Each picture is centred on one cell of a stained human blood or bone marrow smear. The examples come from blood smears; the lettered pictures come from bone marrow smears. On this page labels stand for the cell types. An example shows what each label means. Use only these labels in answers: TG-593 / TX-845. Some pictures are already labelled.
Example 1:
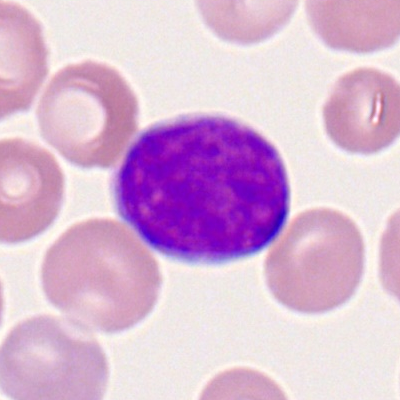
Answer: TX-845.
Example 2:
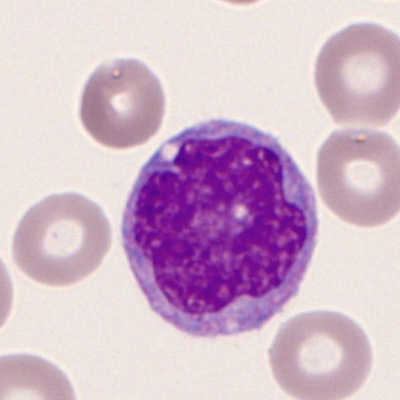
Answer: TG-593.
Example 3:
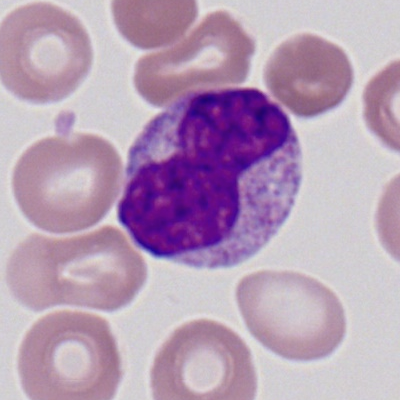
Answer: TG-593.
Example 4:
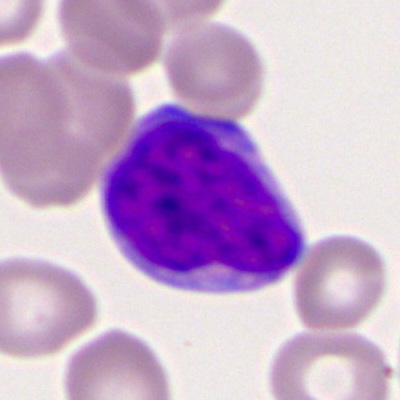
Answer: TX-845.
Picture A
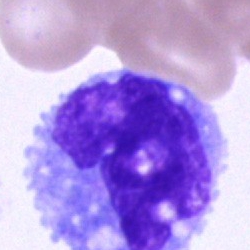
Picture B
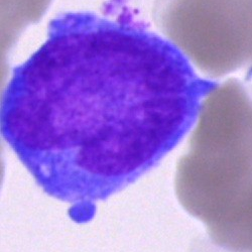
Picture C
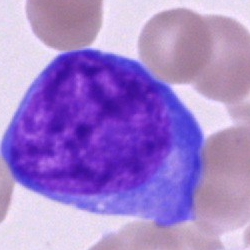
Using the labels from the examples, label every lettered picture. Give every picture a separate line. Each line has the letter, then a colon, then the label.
A: TG-593.
B: TX-845.
C: TX-845.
